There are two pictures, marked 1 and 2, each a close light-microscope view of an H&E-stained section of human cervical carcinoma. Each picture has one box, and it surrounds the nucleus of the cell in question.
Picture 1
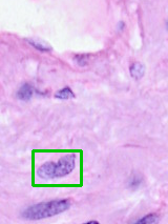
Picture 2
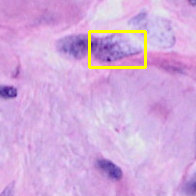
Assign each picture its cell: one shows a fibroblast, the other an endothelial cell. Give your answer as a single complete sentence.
In picture 1 the cell is a fibroblast; in picture 2, an endothelial cell.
